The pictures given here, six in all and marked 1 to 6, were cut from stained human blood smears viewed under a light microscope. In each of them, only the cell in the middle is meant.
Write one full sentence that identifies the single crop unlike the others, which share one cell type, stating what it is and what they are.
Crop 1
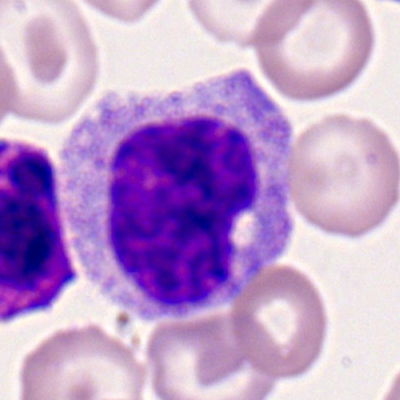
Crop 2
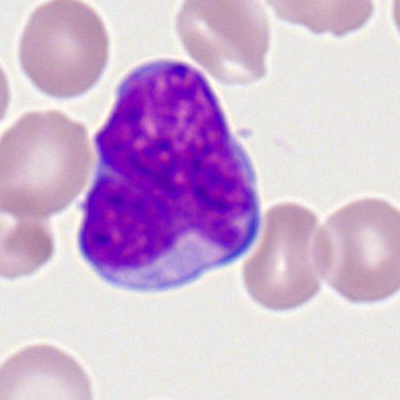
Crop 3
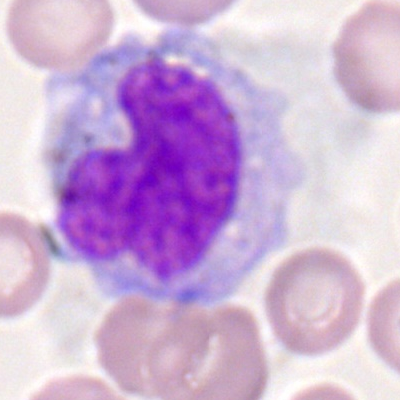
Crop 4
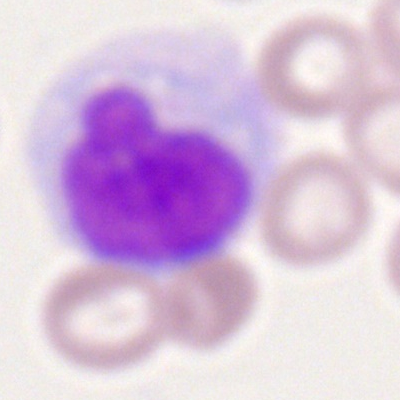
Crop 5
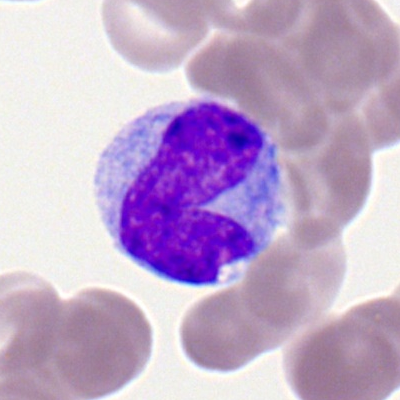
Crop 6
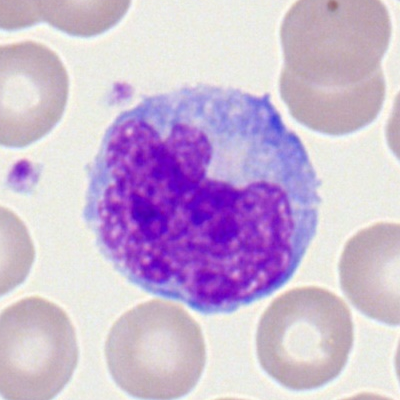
All the crops show monocytes, barring crop 2, which is a myeloblast.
